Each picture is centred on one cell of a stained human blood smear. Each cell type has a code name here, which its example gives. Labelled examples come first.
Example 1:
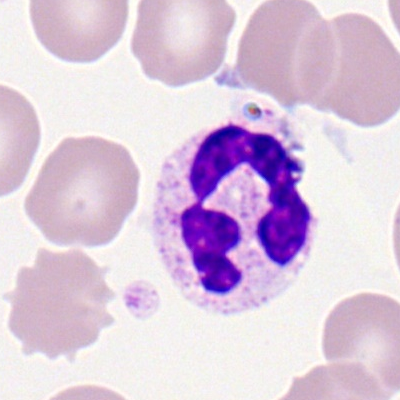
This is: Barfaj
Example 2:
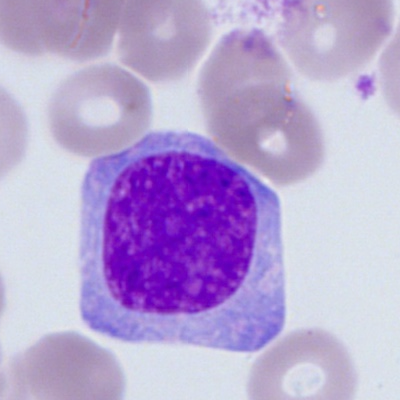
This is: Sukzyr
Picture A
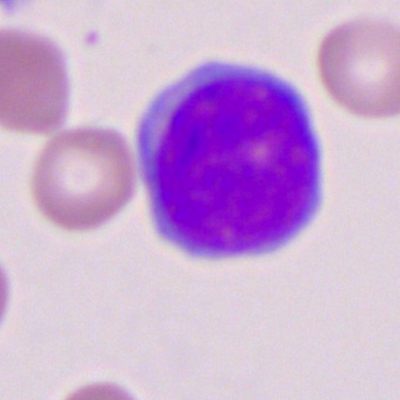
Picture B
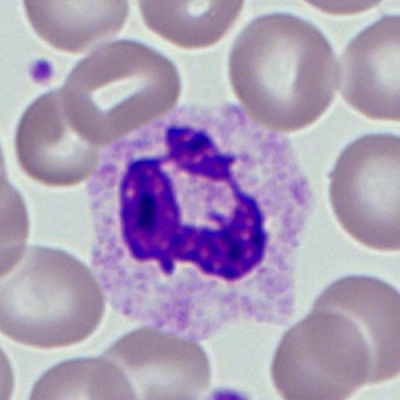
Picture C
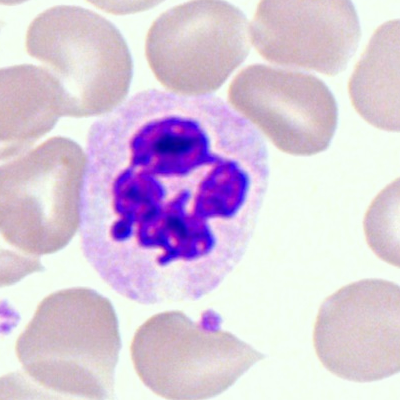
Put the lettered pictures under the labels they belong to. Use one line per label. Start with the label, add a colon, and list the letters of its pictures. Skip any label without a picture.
Barfaj: B, C
Sukzyr: A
